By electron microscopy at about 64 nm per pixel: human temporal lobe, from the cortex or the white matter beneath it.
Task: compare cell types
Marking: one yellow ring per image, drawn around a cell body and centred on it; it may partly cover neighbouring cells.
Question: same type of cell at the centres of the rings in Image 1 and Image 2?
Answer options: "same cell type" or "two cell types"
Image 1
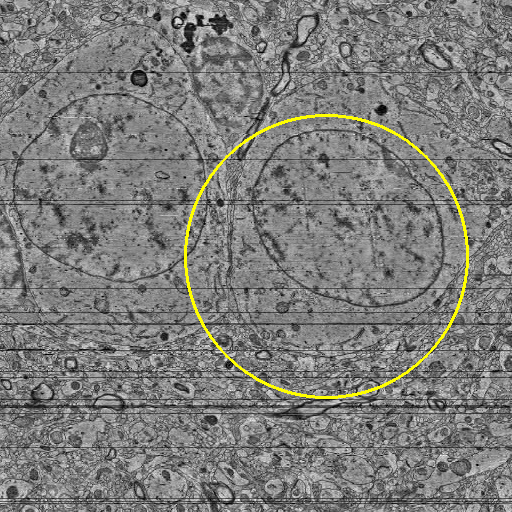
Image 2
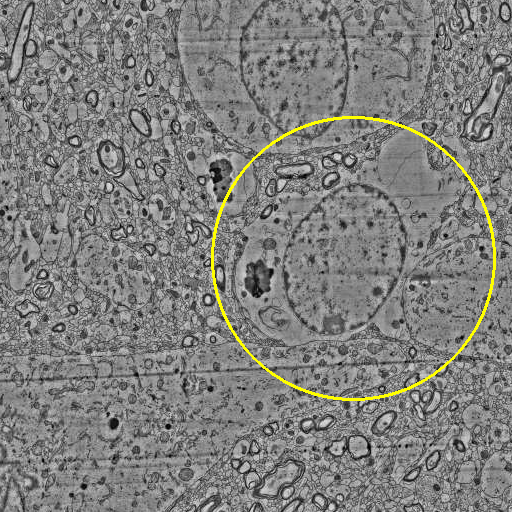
two cell types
